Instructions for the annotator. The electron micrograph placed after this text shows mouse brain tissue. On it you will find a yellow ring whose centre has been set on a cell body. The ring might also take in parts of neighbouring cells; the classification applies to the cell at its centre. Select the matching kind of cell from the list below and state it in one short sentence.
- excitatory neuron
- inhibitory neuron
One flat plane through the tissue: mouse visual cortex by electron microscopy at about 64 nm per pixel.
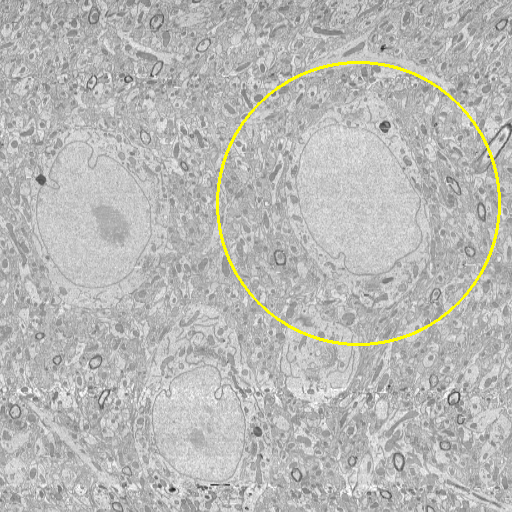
The ring is drawn on the cell body of an excitatory neuron.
